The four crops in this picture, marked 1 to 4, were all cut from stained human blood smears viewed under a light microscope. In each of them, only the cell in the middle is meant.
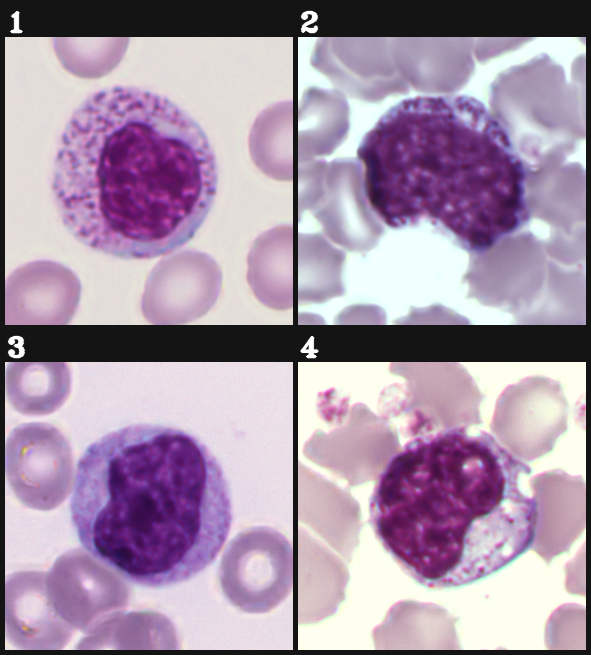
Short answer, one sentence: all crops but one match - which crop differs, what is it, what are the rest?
The rest of the crops show myelocytes; crop 4 is the one showing a metamyelocyte.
